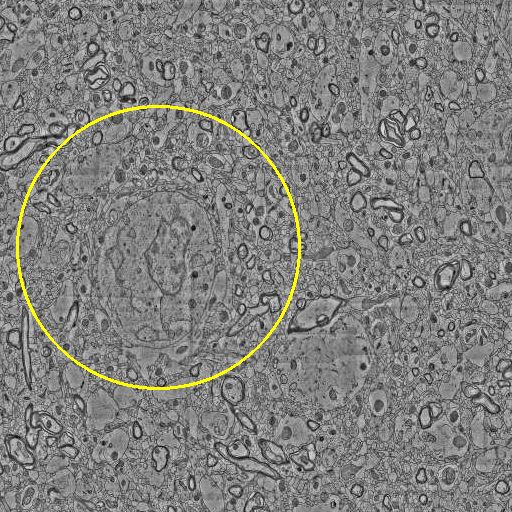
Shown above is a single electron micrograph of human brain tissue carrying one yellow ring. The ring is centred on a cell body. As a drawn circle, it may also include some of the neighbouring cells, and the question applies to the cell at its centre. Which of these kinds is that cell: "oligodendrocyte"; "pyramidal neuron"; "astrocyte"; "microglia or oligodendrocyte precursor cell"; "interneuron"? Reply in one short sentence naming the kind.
The cell marked by the ring is a pyramidal neuron.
